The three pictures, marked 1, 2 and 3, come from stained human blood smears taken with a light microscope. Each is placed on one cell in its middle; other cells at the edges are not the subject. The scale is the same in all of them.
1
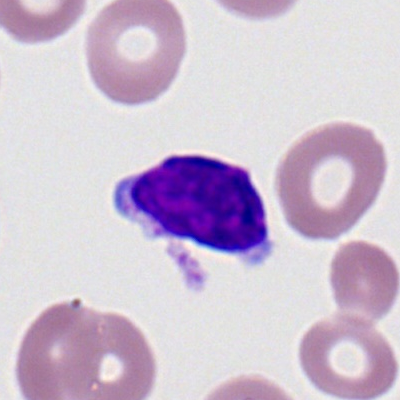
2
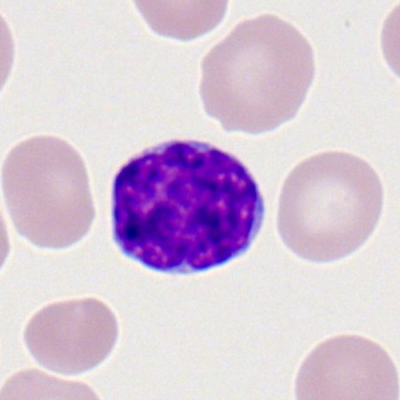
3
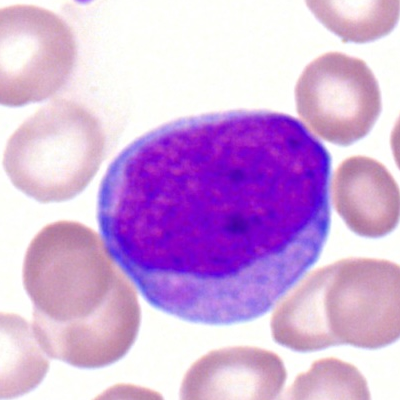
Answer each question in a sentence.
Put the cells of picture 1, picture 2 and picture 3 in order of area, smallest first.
Smallest first: 1, 2, 3.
